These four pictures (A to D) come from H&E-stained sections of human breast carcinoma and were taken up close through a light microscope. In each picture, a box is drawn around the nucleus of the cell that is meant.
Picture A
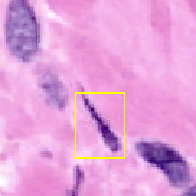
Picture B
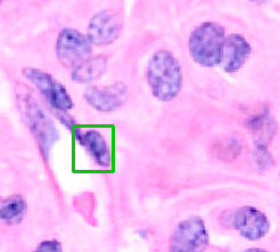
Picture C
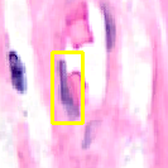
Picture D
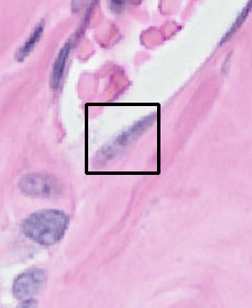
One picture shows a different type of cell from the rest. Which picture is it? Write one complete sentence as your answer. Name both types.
The others show endothelial cells, but picture A shows a fibroblast.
